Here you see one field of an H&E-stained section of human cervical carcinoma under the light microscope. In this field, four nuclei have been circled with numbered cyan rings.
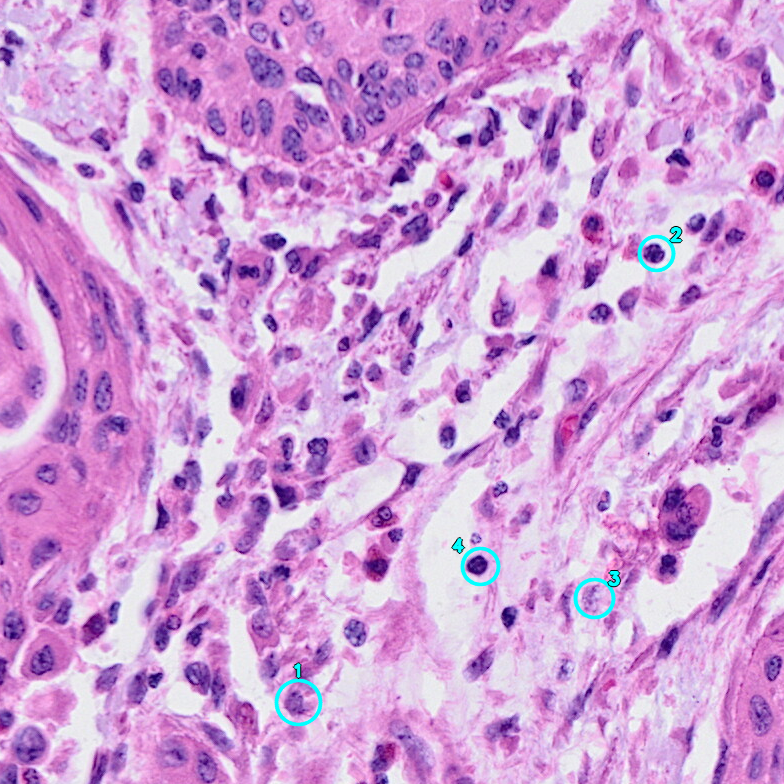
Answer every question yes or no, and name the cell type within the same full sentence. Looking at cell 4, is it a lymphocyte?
Yes, the cell sitting at number 4 is a lymphocyte.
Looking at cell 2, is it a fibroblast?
No, number 2 points to a lymphocyte and not to a fibroblast.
